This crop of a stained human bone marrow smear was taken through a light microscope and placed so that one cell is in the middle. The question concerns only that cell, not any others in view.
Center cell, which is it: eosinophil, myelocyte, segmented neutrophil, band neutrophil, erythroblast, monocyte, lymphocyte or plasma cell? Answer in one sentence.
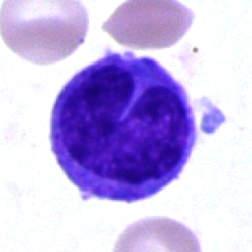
The central cell, amid any neighbouring cells, is a monocyte.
